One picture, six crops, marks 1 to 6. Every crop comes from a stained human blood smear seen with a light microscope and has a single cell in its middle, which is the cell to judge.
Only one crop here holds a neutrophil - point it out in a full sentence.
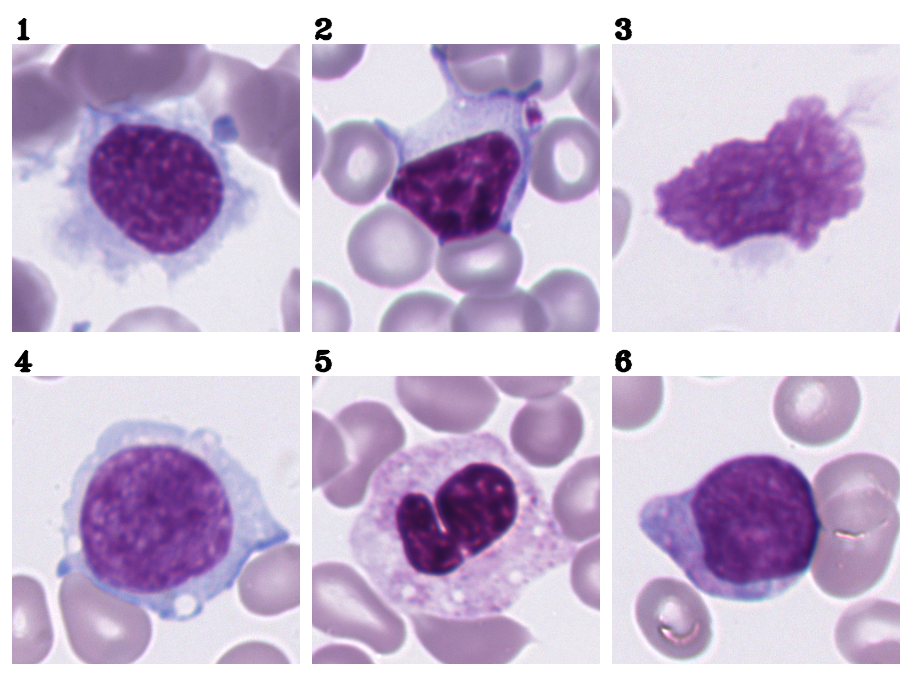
Crop 5, and no other, shows a neutrophil.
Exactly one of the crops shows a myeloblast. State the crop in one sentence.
Among these crops, crop 4 holds a myeloblast.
